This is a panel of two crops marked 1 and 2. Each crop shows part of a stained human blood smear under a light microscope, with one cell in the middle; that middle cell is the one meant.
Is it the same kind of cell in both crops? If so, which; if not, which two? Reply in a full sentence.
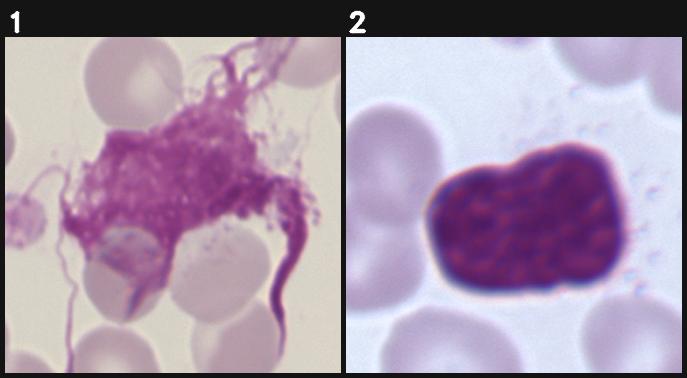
Yes, the two crops show smudge cells at their centres.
